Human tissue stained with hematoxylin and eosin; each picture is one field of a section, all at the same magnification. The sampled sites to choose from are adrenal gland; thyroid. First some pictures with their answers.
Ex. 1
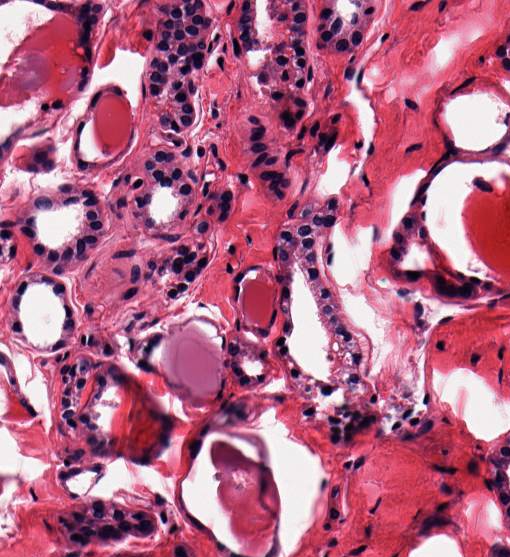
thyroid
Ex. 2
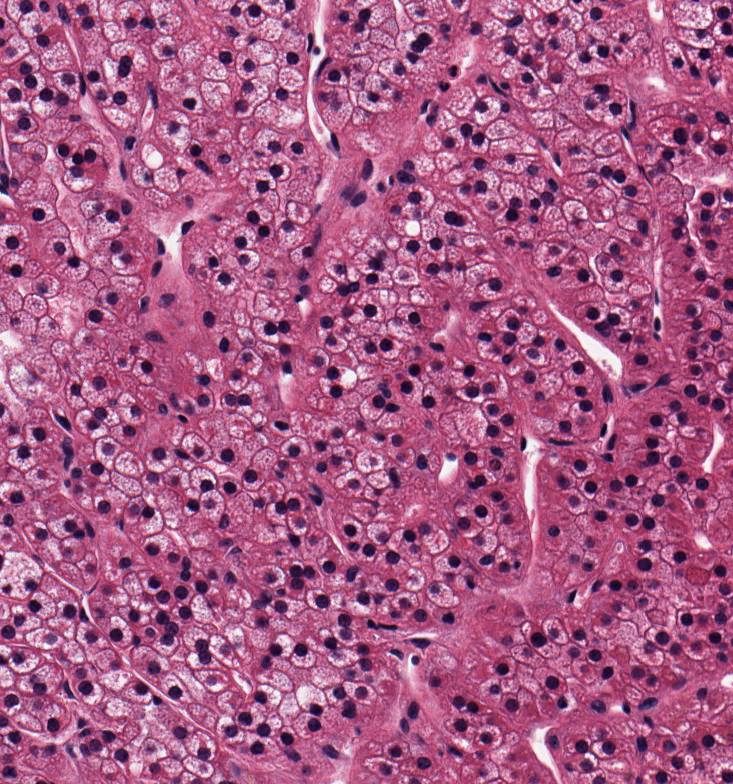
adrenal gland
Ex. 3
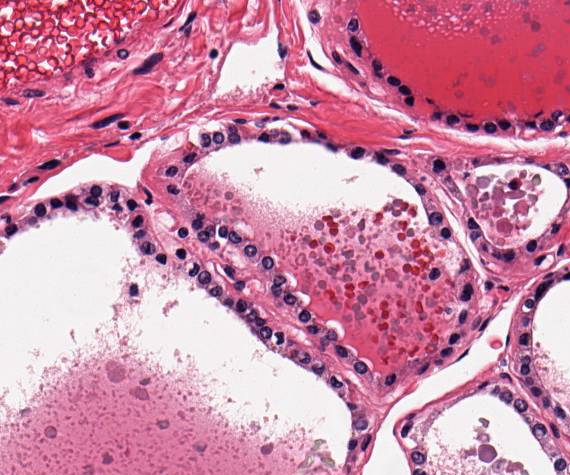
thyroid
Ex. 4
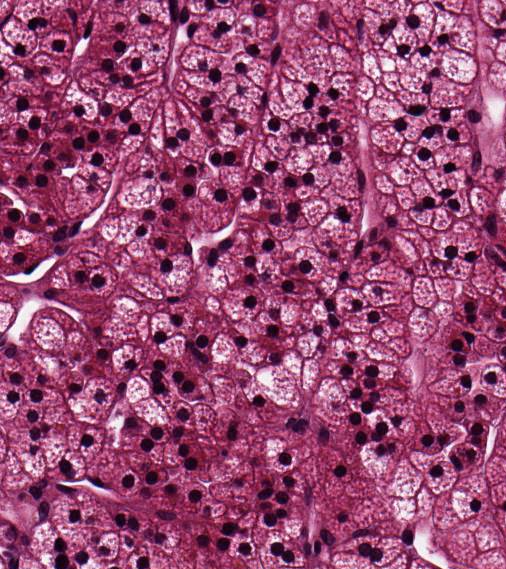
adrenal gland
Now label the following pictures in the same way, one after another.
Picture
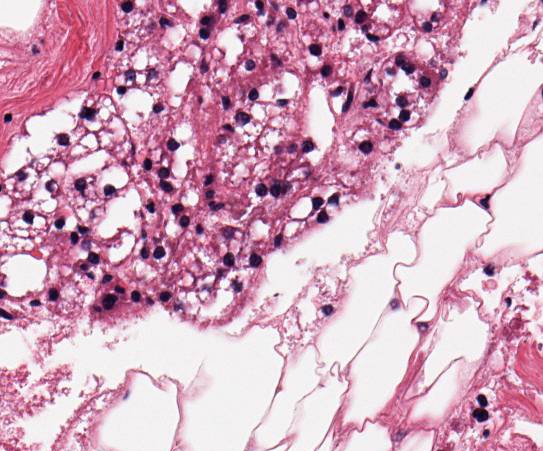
adrenal gland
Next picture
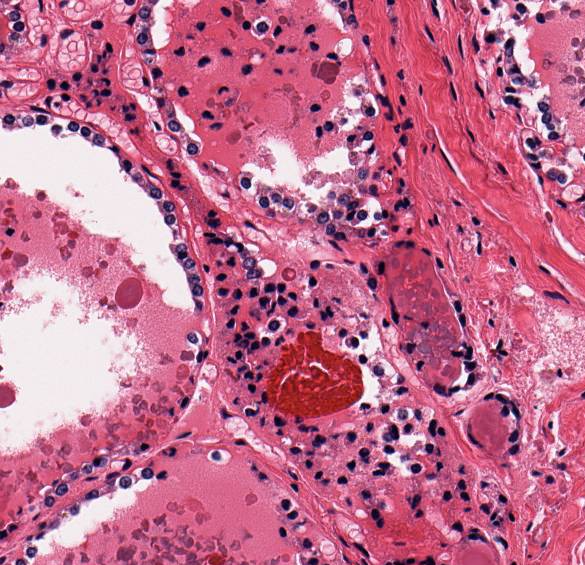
thyroid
